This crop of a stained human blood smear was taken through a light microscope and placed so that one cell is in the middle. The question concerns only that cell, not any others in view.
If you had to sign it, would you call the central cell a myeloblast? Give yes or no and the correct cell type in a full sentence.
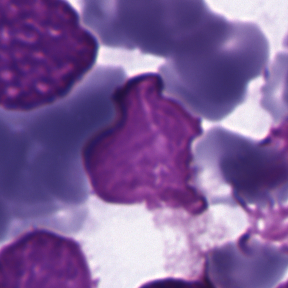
No, the cell at the centre is a smudge cell, which rules out a myeloblast.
